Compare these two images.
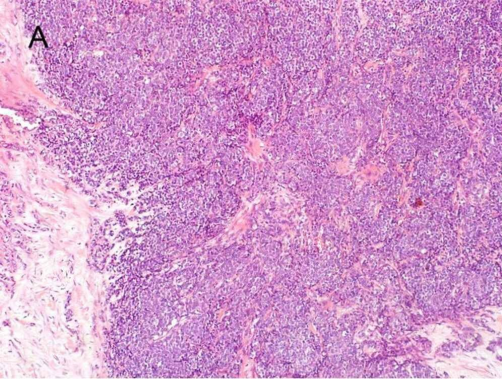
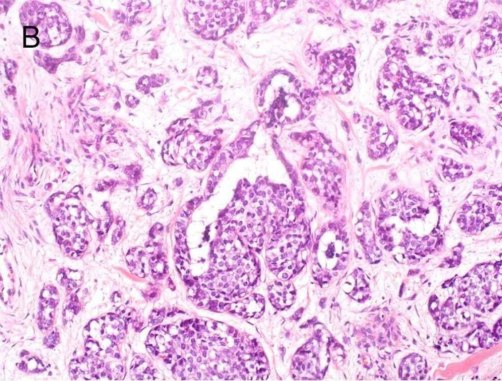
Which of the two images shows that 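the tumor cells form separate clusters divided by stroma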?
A: The second image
